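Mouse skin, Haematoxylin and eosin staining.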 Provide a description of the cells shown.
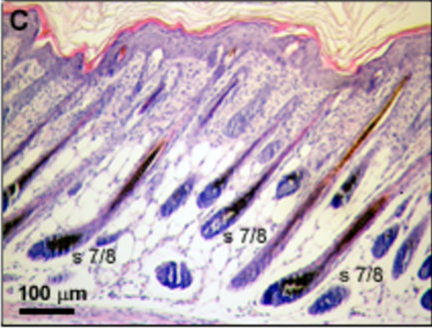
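Long follicles descend in parallel through the dermis, and their dense, deep purple bulbs sit among the pale, rounded fat cells of the subcutaneous layer. Many follicles contain brown-black pigmented hair shafts running up their centre from the bulb. Between the follicles the dermis is loose, with scattered purple nuclei.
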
